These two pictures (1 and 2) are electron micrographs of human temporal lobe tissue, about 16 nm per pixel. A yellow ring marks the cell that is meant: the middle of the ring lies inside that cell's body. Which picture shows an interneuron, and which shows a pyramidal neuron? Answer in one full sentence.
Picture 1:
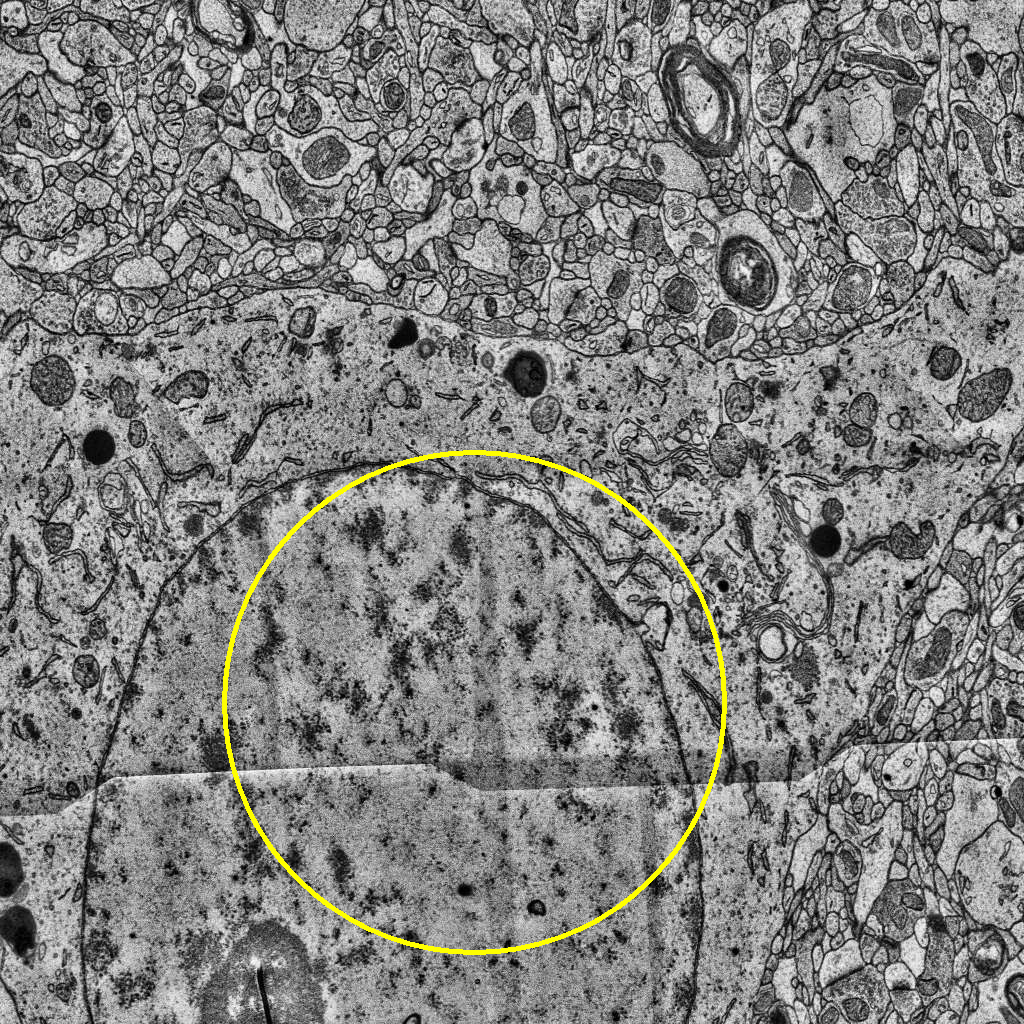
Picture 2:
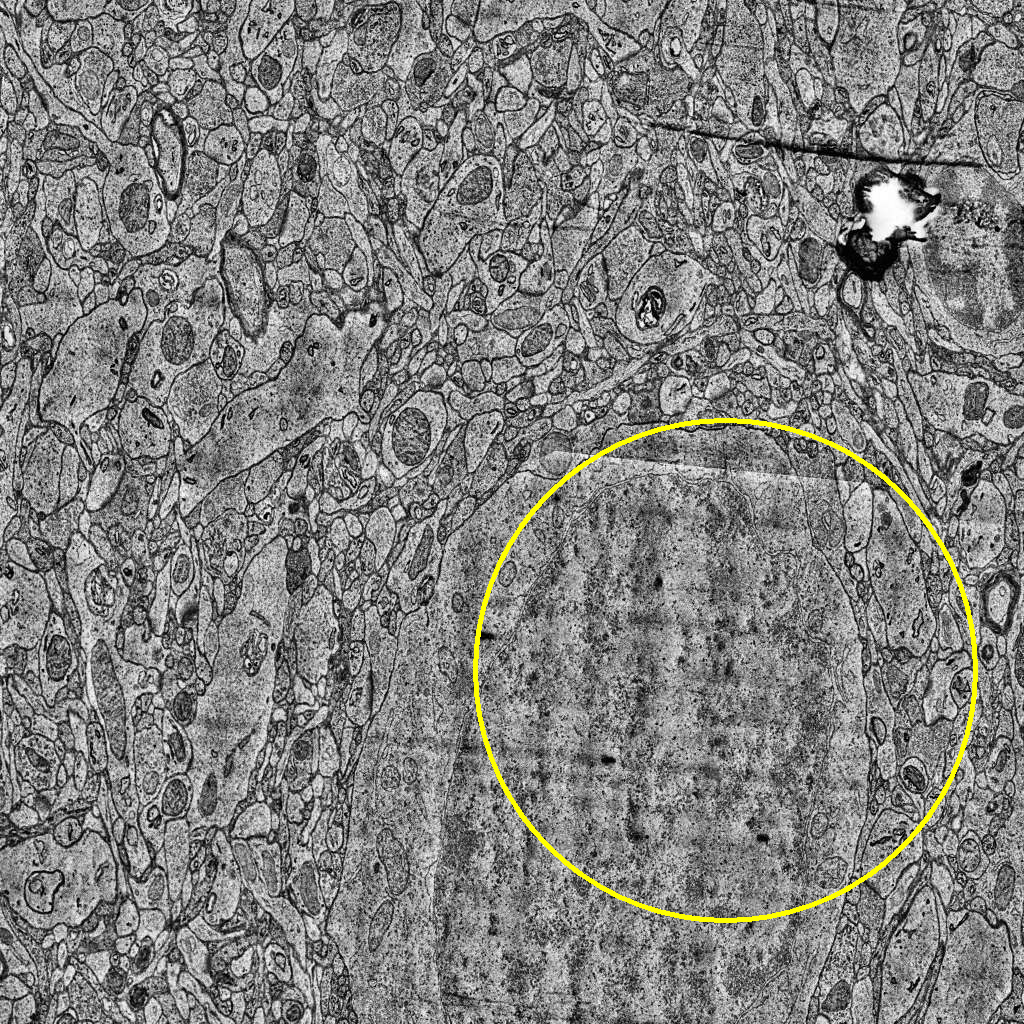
It is picture 1 that shows a pyramidal neuron, and picture 2 that shows an interneuron.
